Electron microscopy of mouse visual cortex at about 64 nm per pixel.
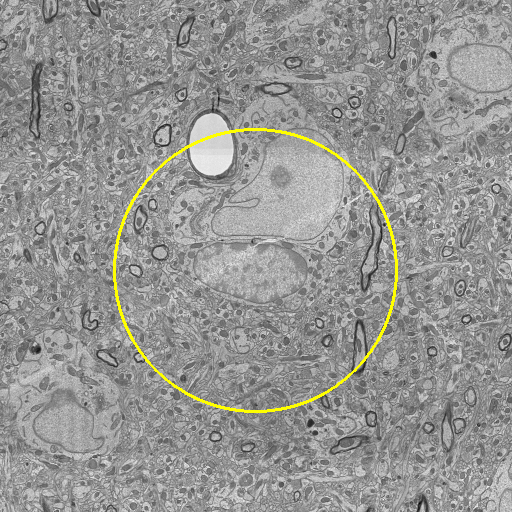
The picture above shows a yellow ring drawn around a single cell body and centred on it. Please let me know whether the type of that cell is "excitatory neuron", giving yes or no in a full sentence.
No, the cell at the centre of the ring above has a different type.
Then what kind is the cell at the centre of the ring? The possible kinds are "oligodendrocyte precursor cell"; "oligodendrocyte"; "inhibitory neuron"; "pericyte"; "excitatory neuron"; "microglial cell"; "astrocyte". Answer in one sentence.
The ring holds an oligodendrocyte at its centre.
